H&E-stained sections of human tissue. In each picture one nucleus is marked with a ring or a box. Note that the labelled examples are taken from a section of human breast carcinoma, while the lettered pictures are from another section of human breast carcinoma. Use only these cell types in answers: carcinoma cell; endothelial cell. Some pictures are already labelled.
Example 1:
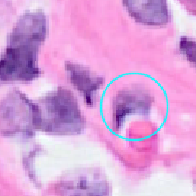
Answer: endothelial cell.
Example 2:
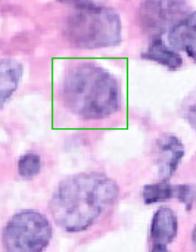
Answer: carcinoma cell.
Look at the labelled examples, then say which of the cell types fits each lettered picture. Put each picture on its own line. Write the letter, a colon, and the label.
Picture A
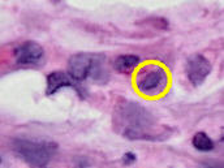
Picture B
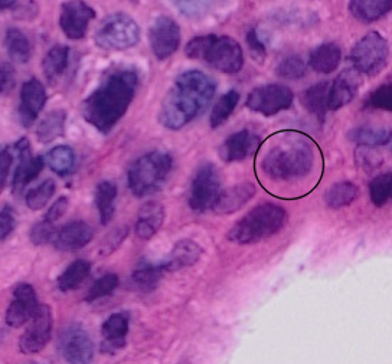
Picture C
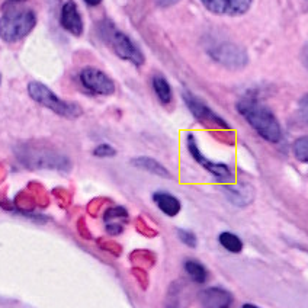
A: endothelial cell.
B: carcinoma cell.
C: endothelial cell.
